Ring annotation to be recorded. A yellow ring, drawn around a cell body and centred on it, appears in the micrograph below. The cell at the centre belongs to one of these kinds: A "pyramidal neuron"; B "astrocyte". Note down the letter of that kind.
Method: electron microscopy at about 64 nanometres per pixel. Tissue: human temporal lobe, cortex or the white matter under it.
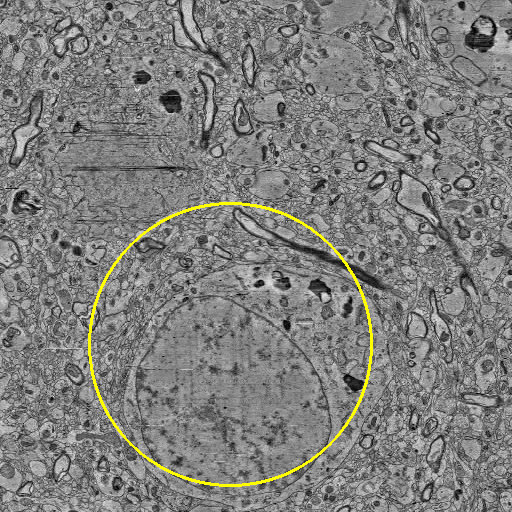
A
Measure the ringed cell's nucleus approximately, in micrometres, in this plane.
In this plane the nucleus measures roughly 14 by 12 micrometres.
